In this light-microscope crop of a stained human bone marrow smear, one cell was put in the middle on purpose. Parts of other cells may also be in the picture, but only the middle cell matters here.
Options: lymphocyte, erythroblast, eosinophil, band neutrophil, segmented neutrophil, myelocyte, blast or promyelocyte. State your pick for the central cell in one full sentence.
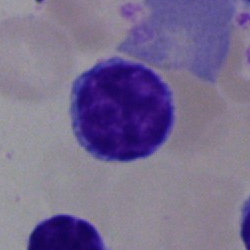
This crop has a lymphocyte at its centre.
